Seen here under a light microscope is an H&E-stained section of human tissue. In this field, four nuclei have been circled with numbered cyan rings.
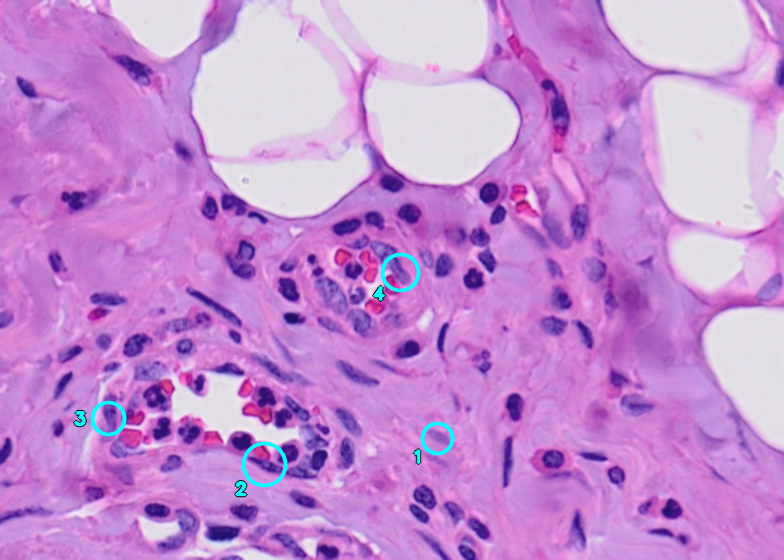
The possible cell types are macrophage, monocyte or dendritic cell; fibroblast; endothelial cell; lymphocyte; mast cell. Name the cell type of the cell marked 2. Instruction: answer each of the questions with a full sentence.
The cell marked with number 2 is an endothelial cell.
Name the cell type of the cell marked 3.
Regarding cell 3, this one is an endothelial cell.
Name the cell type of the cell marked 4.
The cell that carries the label 4 is an endothelial cell.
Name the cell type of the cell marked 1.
The marked cell with the number 1 is recognised as a fibroblast.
